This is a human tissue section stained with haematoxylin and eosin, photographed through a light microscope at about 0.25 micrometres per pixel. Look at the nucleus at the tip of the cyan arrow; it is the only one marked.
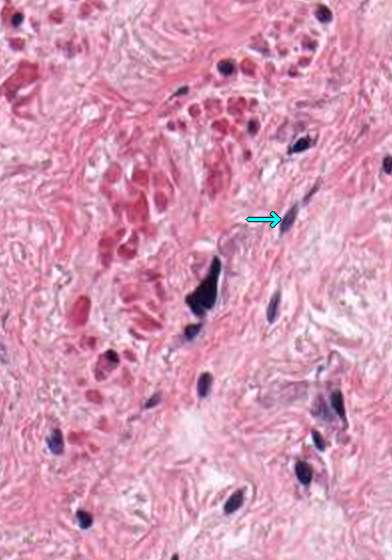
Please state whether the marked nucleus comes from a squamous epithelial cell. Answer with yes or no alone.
no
